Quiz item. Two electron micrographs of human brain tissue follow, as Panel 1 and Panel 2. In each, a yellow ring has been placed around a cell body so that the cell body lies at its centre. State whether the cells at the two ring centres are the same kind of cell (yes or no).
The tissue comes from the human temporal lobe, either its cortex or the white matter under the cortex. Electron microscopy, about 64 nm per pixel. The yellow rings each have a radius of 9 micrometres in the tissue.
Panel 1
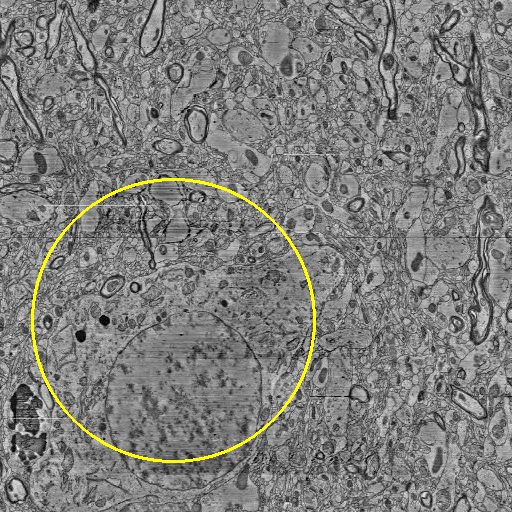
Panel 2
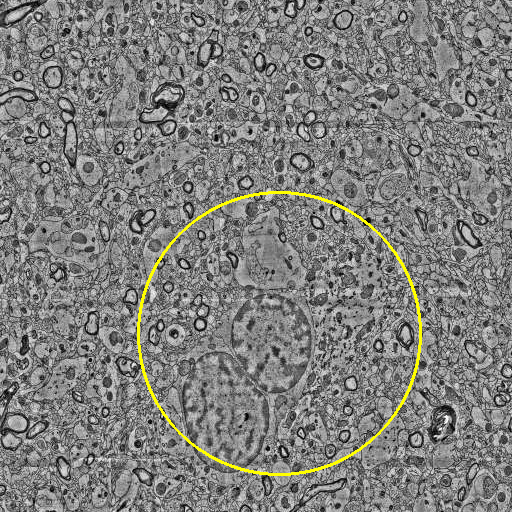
no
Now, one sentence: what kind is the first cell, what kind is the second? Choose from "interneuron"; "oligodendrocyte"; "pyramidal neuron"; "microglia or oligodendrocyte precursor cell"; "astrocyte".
The first picture has a pyramidal neuron at its ring centre, and the second has an oligodendrocyte.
